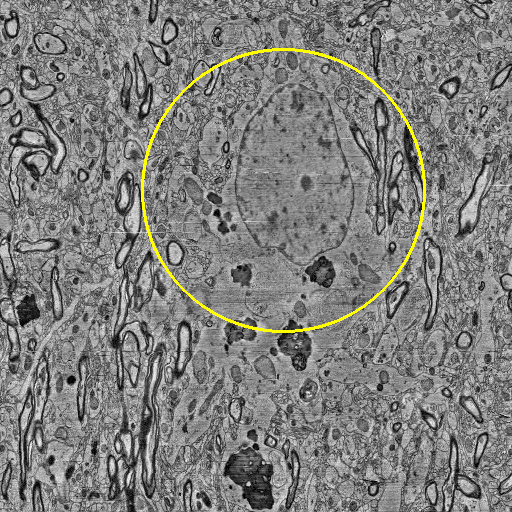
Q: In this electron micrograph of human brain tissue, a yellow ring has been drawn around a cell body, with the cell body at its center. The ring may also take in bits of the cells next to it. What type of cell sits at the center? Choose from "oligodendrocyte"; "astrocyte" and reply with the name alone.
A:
astrocyte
